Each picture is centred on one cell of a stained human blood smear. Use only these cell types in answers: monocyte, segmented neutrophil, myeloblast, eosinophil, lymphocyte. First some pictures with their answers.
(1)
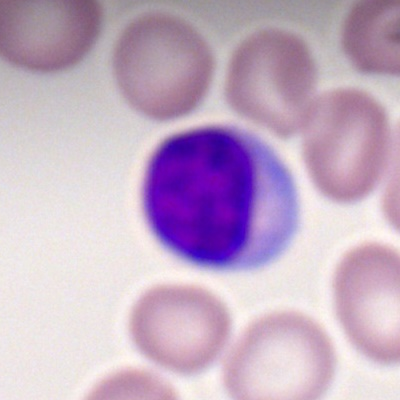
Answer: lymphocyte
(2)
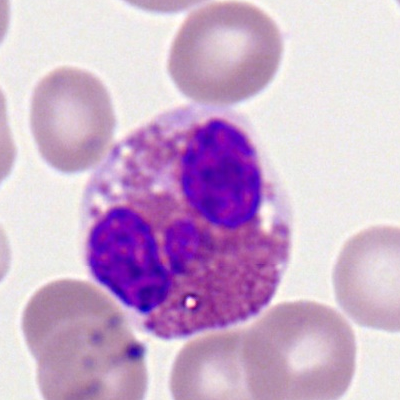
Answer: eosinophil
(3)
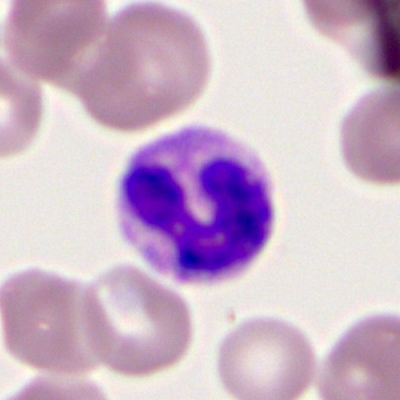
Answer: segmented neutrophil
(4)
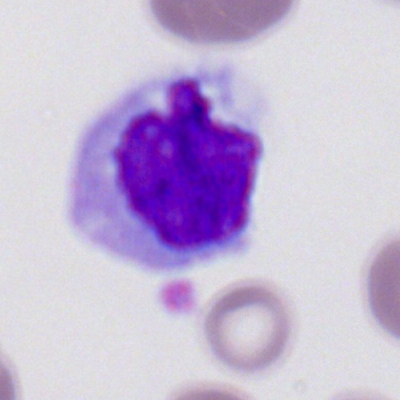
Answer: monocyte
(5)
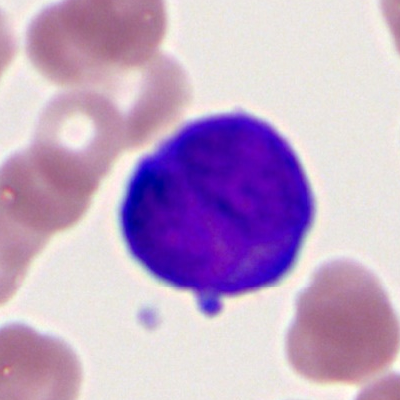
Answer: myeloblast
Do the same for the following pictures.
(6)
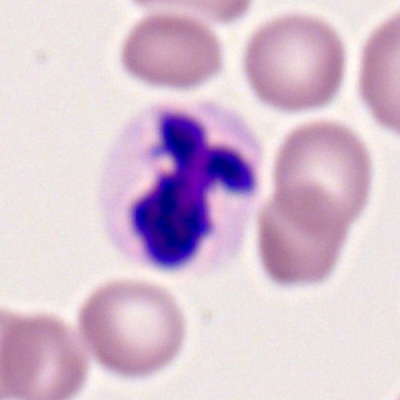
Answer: segmented neutrophil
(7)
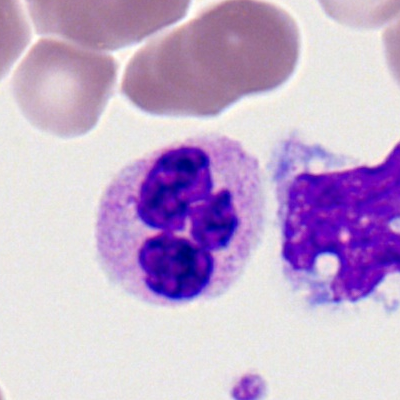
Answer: segmented neutrophil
